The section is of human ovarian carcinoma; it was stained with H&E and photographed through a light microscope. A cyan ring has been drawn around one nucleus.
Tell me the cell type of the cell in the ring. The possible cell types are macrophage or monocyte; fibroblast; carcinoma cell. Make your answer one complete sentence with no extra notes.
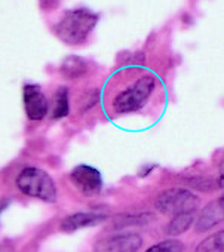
In this tissue section, the cell in the ring is to be classed as a macrophage or monocyte.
